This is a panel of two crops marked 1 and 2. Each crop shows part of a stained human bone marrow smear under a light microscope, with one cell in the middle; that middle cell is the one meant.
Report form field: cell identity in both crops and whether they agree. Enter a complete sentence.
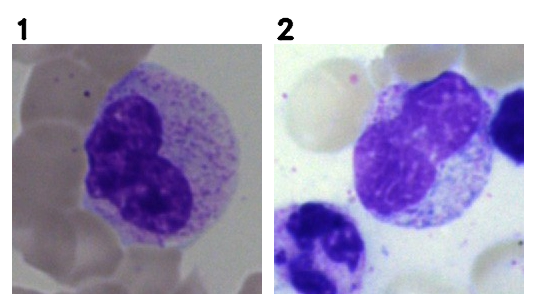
Yes, the reply for both crops is metamyelocytes.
